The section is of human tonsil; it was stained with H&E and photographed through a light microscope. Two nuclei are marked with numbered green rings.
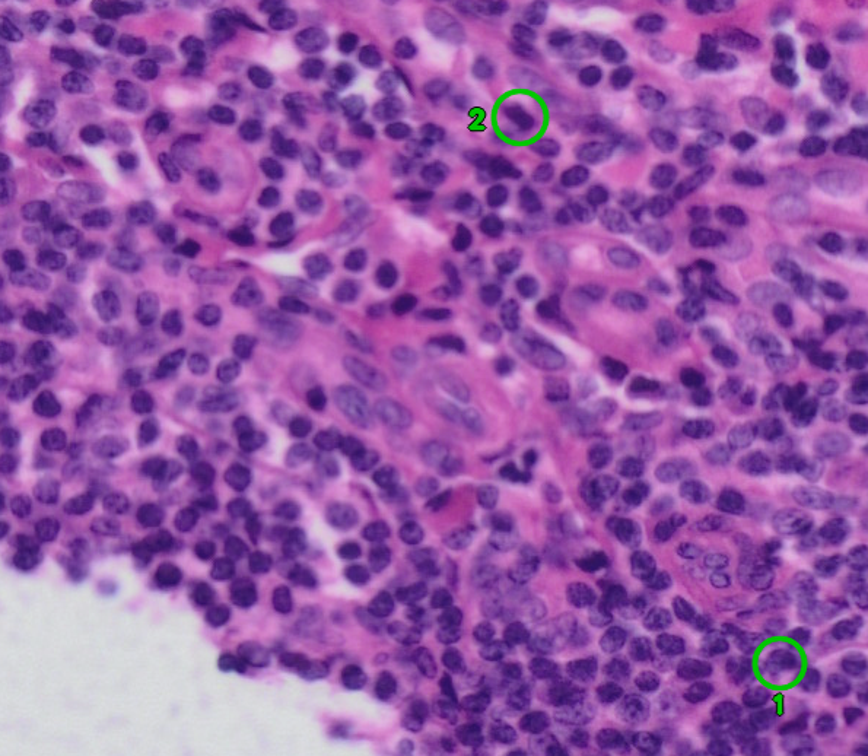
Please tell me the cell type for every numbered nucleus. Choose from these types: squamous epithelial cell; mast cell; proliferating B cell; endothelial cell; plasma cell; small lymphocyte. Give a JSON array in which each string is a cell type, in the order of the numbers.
["small lymphocyte", "endothelial cell"]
